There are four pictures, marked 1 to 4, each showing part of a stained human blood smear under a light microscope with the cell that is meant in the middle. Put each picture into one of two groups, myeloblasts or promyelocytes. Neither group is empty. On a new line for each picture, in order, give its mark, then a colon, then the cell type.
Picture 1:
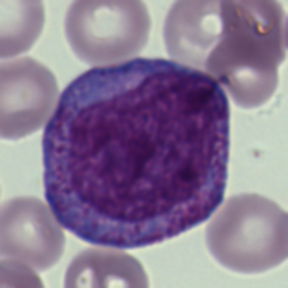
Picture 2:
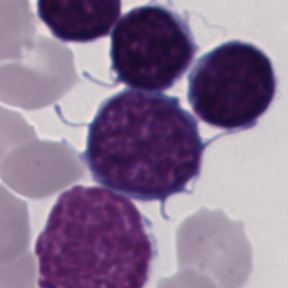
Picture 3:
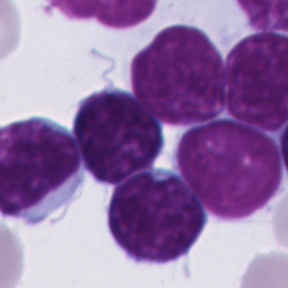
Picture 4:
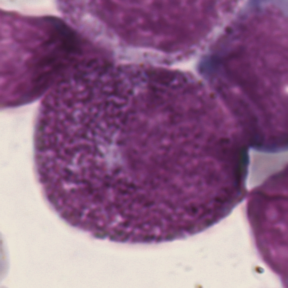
1: promyelocyte
2: myeloblast
3: myeloblast
4: promyelocyte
